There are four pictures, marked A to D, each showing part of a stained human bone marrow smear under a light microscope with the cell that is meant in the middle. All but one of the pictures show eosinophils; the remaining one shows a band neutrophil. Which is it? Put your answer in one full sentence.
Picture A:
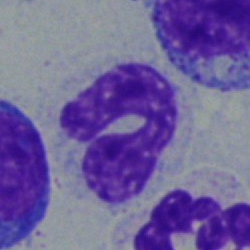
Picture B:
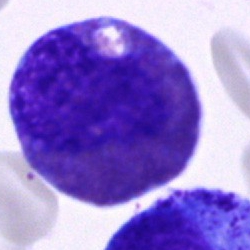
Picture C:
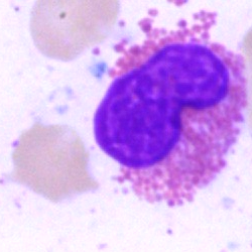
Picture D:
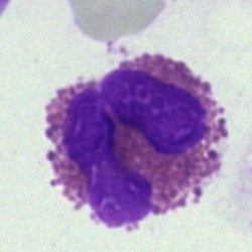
The picture with the band neutrophil is A.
